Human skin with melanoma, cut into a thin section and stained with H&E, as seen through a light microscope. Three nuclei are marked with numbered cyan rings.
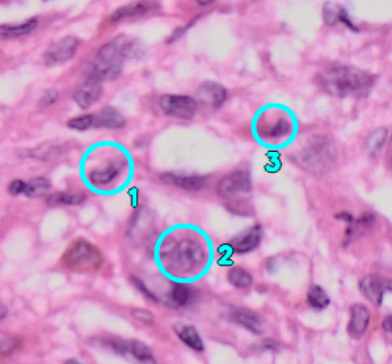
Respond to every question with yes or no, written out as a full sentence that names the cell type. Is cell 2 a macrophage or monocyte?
No, it is a melanoma cell, not a macrophage or monocyte, that number 2 marks.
